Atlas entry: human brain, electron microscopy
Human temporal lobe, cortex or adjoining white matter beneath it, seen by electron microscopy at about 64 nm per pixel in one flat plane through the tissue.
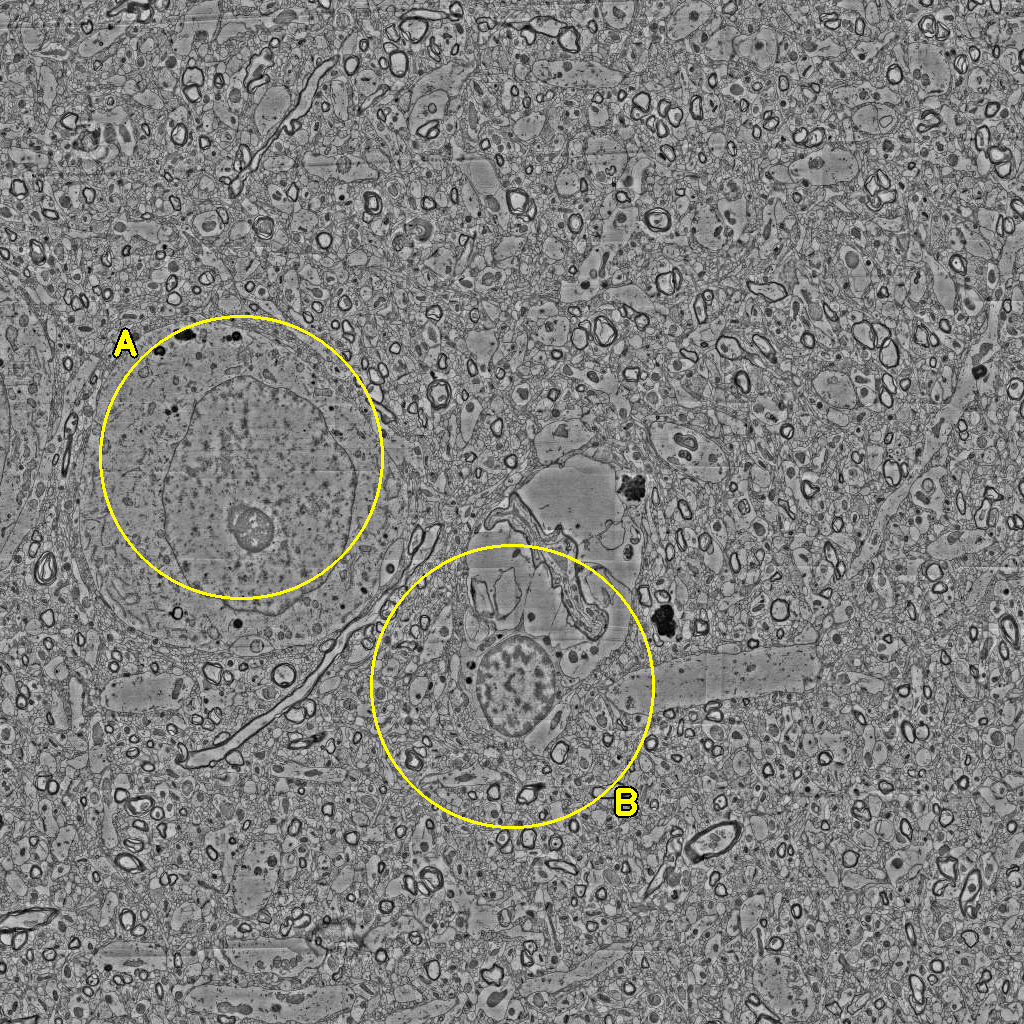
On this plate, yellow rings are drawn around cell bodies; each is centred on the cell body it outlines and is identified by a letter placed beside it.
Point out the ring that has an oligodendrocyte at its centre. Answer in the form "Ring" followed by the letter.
Ring B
